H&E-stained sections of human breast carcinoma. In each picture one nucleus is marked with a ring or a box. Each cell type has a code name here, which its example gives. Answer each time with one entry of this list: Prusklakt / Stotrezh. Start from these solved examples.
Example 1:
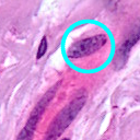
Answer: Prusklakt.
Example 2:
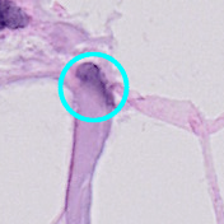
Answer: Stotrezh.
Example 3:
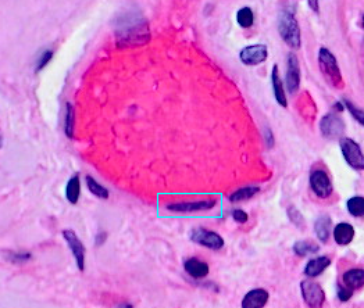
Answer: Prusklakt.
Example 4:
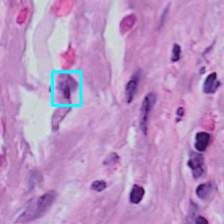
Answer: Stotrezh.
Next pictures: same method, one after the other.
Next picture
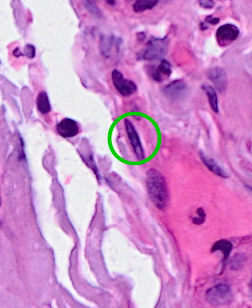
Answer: Prusklakt.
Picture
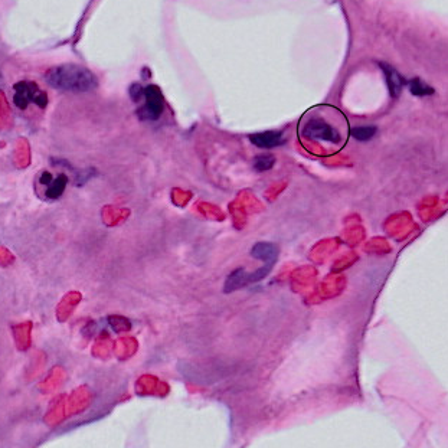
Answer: Prusklakt.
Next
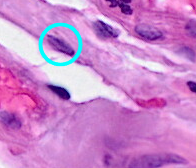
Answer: Stotrezh.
